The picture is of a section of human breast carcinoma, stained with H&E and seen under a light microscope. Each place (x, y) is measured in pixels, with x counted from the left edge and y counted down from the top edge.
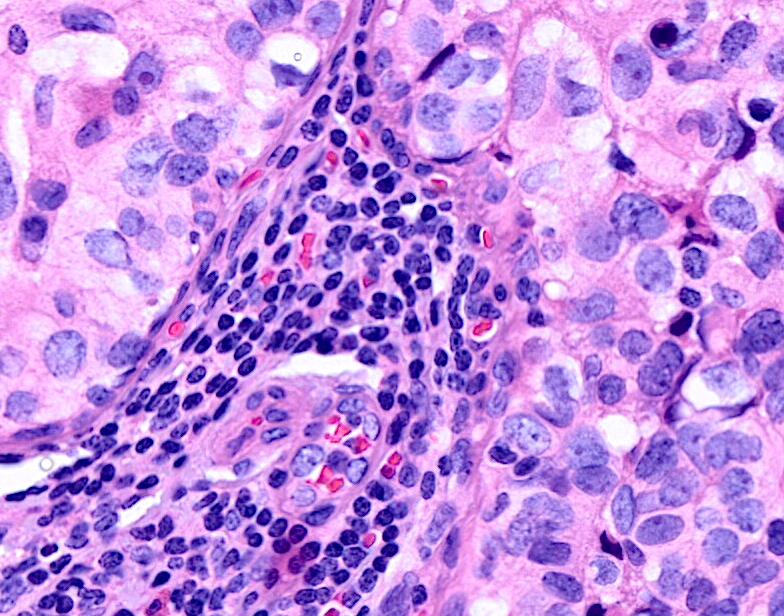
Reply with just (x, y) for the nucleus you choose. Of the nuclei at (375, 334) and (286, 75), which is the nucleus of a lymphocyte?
(375, 334)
